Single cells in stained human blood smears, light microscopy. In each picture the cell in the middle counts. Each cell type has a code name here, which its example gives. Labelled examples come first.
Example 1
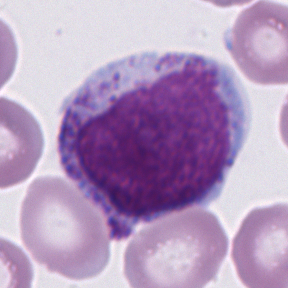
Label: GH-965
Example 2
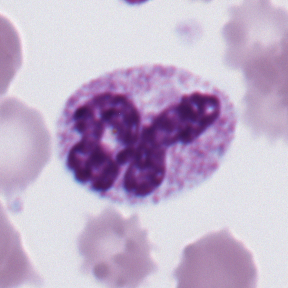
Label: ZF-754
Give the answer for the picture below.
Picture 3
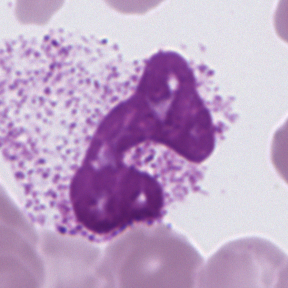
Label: ZF-754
